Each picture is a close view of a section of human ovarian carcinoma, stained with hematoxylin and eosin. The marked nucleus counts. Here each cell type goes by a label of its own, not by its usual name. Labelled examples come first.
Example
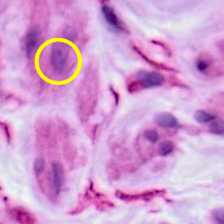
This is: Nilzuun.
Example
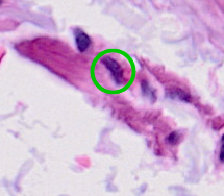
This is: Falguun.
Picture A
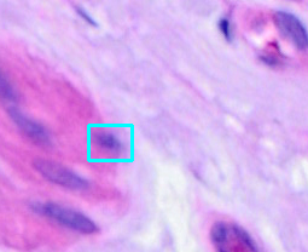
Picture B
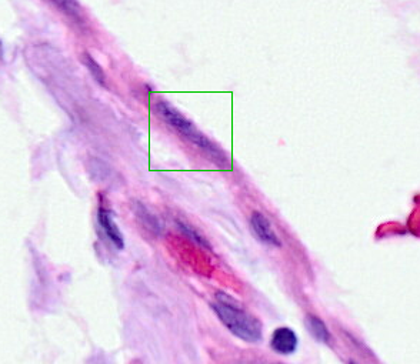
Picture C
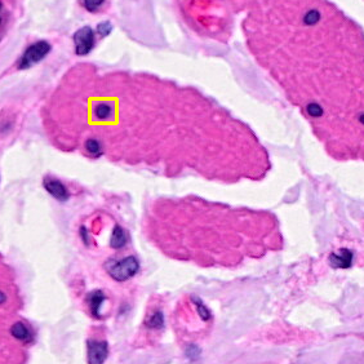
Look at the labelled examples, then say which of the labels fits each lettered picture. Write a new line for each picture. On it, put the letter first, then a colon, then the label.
A: Nilzuun.
B: Falguun.
C: Nilzuun.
